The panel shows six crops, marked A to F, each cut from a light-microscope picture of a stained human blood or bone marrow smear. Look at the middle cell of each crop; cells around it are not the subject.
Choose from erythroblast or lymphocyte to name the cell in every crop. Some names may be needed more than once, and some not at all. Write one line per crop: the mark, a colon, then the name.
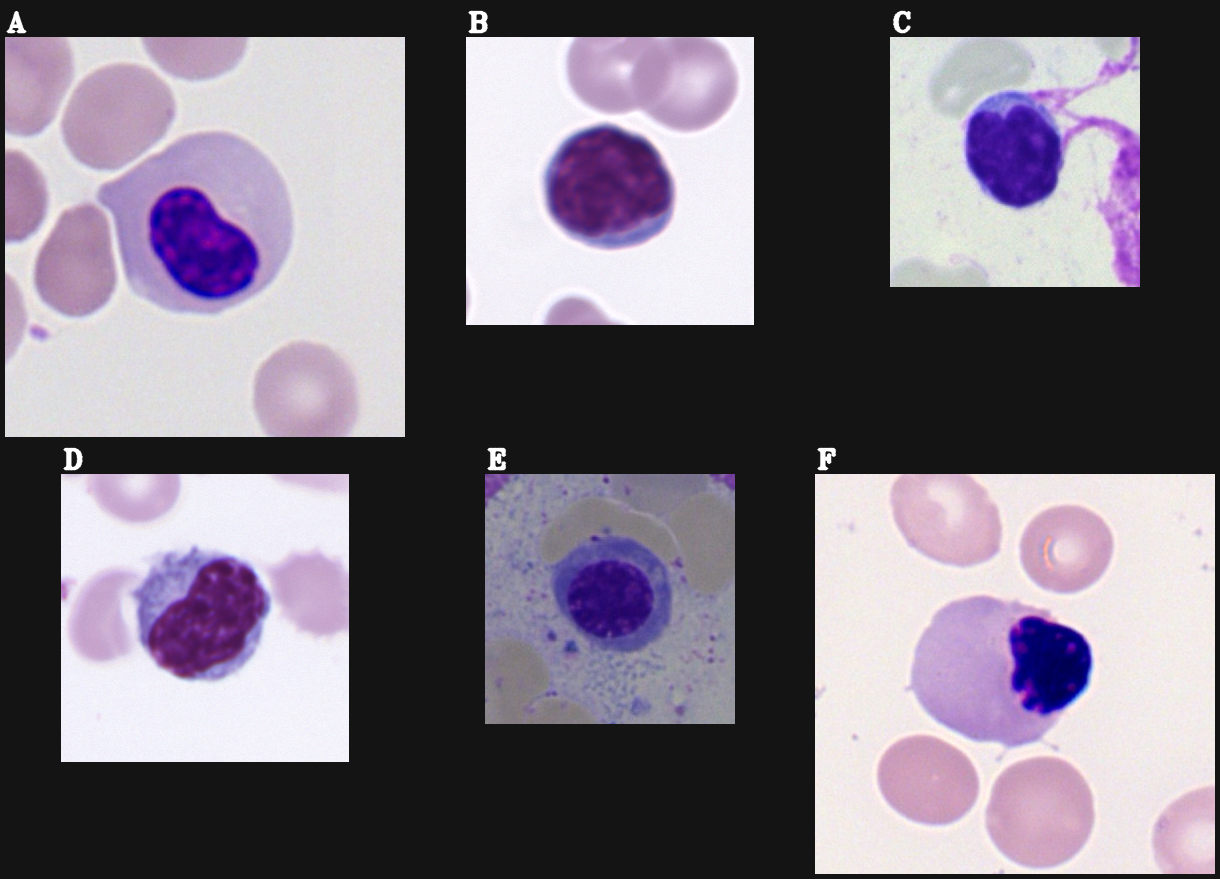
A: erythroblast
B: lymphocyte
C: lymphocyte
D: lymphocyte
E: erythroblast
F: erythroblast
